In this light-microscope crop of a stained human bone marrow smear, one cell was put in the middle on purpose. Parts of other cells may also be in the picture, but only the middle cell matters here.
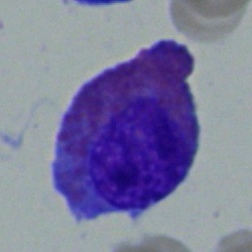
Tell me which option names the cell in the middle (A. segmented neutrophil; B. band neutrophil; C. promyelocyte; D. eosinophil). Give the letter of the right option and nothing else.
D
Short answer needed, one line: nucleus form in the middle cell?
A single compact nucleus, round, oval or kidney-shaped, is what this cell shows.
